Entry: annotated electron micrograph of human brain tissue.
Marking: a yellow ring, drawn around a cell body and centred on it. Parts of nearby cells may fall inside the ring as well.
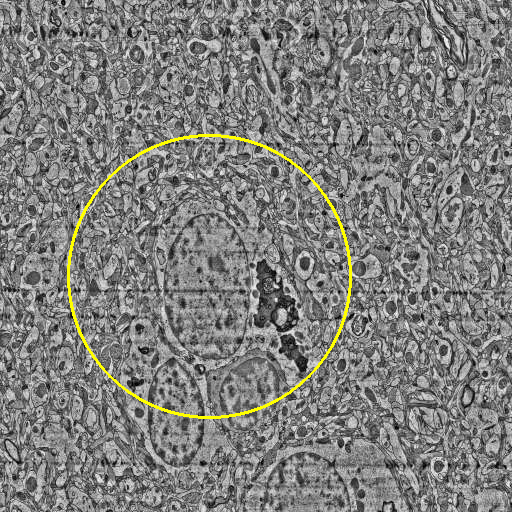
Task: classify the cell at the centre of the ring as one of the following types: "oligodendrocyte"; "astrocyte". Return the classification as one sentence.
The marked cell is classified as an astrocyte.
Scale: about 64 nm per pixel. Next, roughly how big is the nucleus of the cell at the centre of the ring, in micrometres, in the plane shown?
The nucleus works out at approximately 9 by 6 micrometres in this plane.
